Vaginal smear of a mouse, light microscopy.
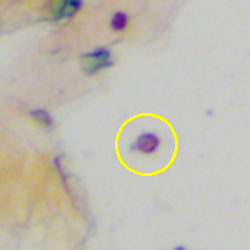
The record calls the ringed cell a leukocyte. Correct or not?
Correct; it is a leukocyte.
